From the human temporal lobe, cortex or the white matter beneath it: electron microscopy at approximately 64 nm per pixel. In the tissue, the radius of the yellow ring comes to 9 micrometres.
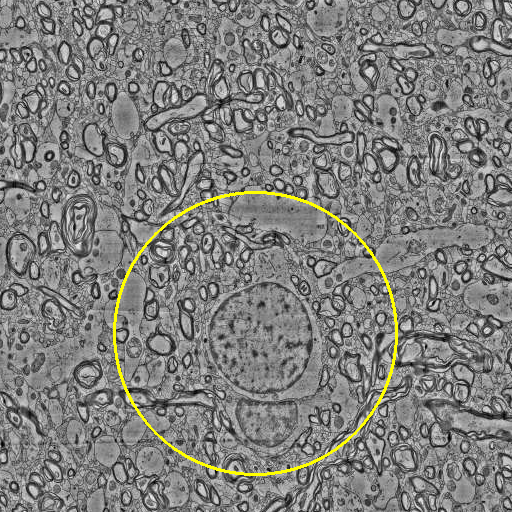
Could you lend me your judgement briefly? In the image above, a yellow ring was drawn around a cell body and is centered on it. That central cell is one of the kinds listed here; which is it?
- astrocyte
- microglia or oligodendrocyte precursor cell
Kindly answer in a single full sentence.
Going by the list, a microglial cell or oligodendrocyte precursor cell is the kind at the ring's center in the picture.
